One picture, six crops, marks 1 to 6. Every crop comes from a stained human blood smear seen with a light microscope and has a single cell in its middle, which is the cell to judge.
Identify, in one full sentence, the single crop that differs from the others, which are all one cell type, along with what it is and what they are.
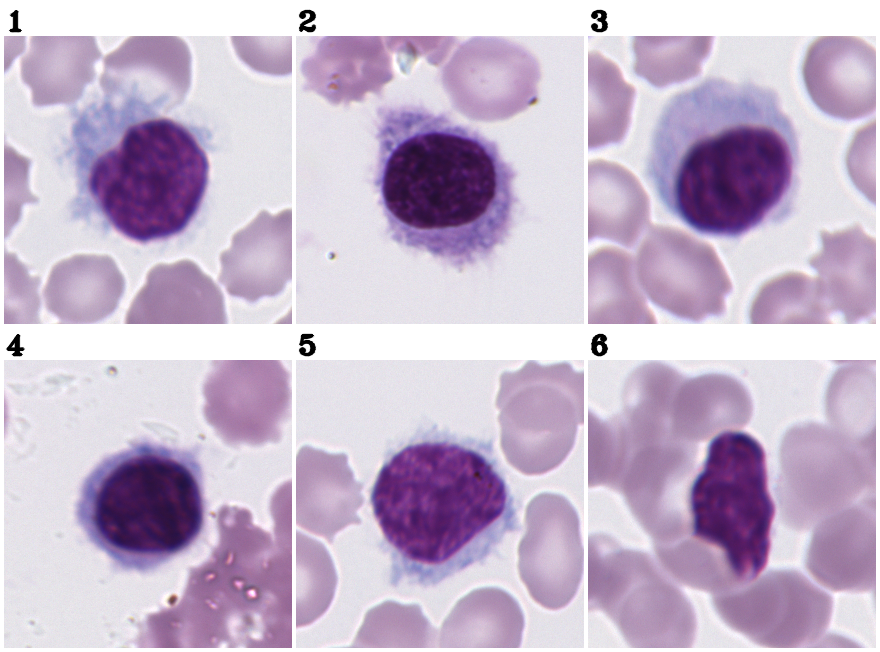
The rest of the crops show hairy cells; crop 6 is the one showing a smudge cell.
